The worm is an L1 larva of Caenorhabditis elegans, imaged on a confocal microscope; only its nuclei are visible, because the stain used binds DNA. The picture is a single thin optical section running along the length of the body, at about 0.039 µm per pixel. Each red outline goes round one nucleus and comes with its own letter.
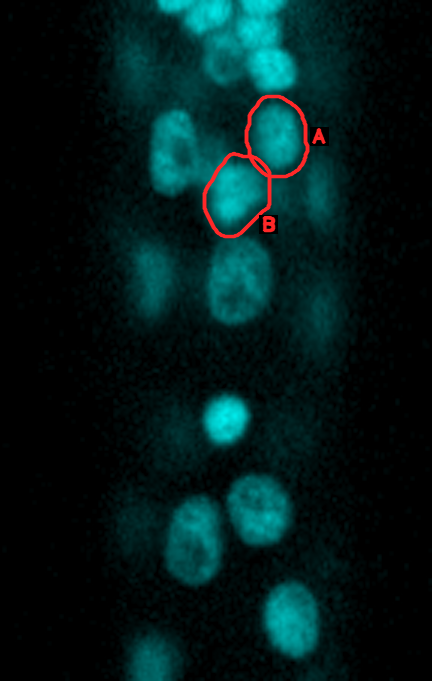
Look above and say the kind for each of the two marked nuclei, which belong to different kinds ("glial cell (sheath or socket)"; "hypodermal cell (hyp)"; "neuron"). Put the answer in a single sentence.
B belongs to a glial cell (sheath or socket), and A to a neuron.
